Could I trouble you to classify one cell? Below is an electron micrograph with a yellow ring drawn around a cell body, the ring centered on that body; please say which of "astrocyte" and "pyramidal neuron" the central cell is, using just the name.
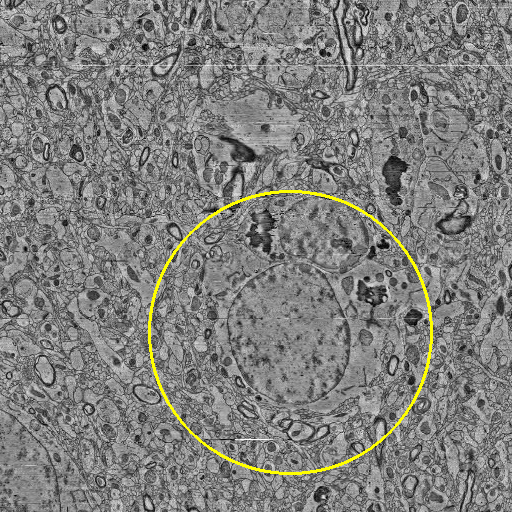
astrocyte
